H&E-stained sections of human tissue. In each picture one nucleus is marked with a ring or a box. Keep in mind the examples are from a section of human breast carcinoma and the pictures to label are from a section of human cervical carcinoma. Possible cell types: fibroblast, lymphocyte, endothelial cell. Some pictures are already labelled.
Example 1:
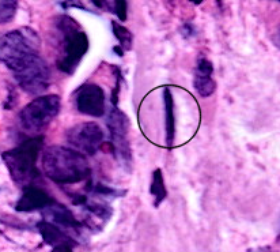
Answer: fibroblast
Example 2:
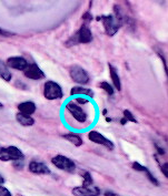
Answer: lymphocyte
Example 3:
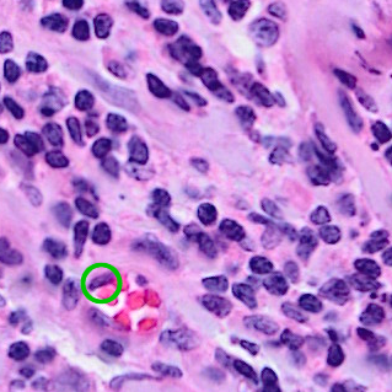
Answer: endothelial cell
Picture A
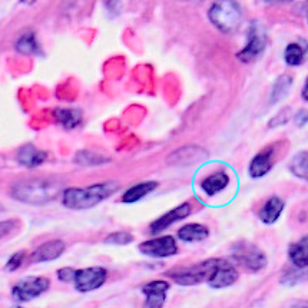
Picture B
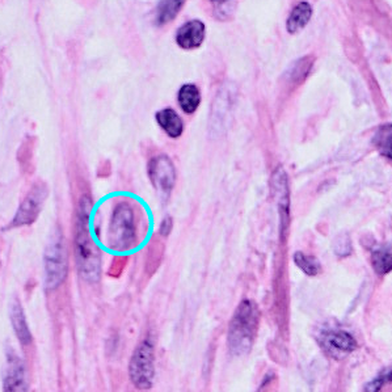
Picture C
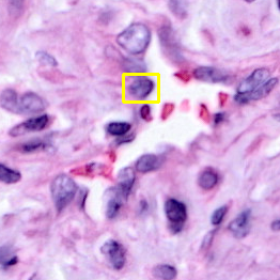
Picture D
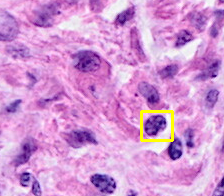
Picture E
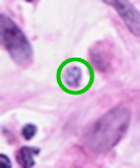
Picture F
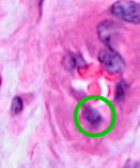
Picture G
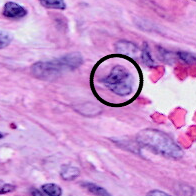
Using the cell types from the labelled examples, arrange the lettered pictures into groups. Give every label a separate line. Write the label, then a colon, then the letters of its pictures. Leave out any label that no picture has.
lymphocyte: A, D, E
endothelial cell: B, C, F, G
